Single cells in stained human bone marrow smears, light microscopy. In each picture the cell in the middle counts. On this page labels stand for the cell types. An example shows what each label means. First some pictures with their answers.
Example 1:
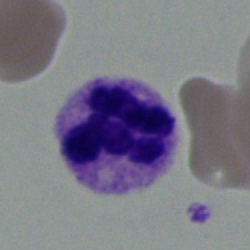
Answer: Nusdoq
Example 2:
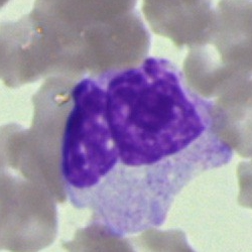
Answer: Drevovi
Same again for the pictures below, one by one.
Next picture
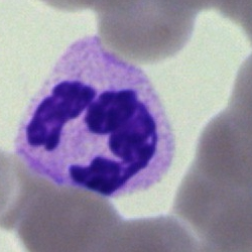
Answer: Nusdoq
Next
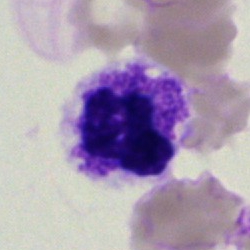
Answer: Nusdoq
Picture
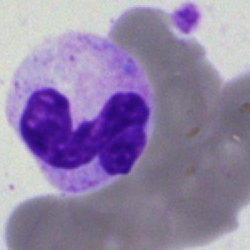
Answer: Nusdoq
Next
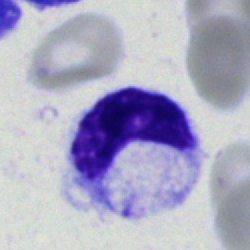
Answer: Drevovi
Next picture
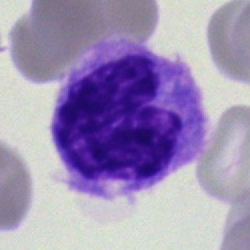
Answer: Drevovi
